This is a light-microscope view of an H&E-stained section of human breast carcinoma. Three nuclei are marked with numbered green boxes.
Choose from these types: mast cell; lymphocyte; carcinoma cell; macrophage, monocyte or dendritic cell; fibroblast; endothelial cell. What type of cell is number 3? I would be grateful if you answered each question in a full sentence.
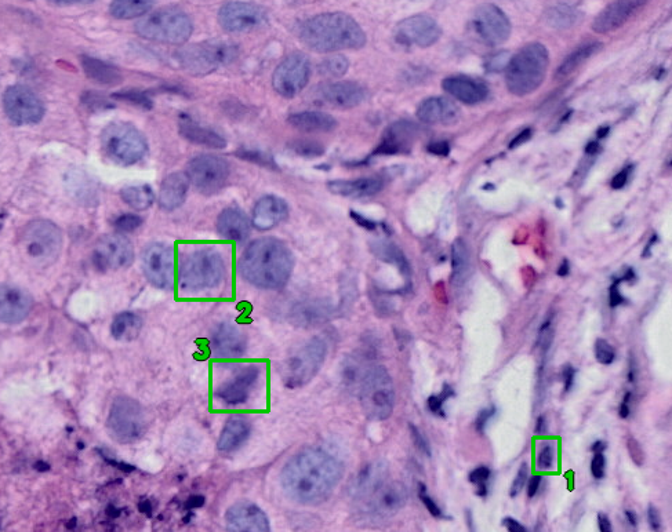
The numbered cell 3 is identified here as a carcinoma cell.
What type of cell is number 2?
As for number 2, that cell is a carcinoma cell.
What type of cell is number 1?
The cell indicated with the number 1 is classed as a lymphocyte.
